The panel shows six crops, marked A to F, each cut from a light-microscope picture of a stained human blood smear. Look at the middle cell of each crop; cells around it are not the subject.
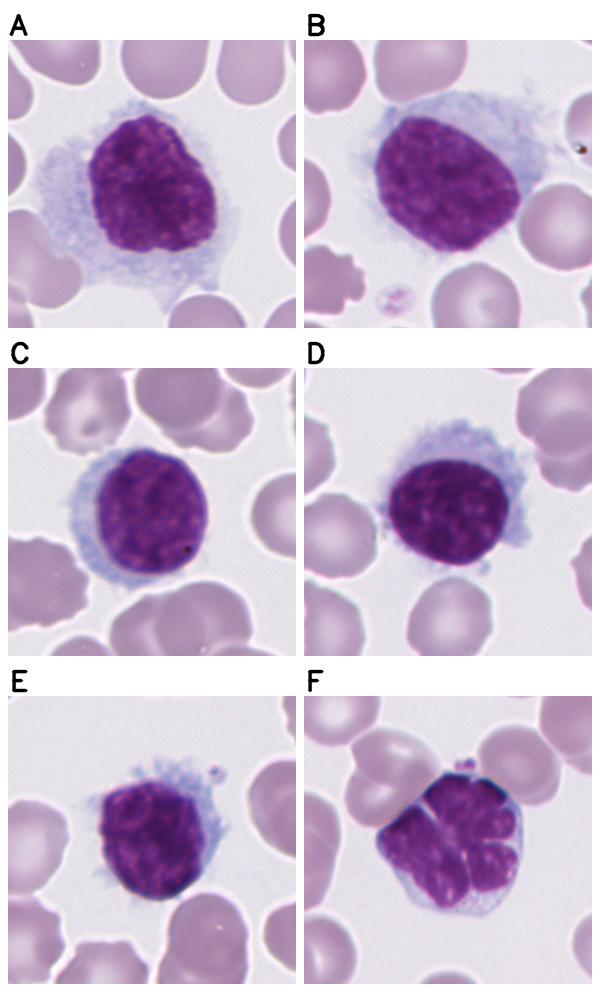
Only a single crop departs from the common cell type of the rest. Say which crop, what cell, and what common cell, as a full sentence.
The odd one out is crop F, a large granular lymphocyte, and all other crops show hairy cells.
